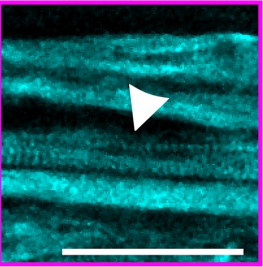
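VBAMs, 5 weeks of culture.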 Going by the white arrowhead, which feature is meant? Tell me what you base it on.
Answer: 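Striations. Elongated fibers run horizontally across the field. Regular fine transverse bands repeat along the fibers near the arrowhead.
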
